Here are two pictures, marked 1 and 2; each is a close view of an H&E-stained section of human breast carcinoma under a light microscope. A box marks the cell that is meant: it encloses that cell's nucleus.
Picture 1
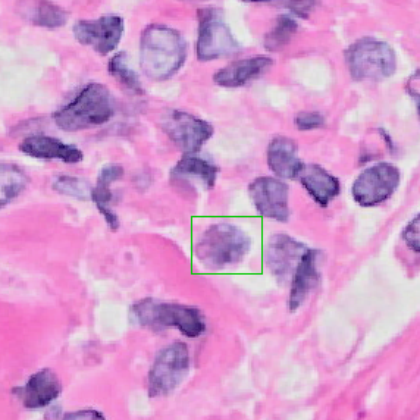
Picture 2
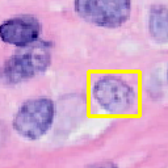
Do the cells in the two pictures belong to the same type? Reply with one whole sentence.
Yes, both cells are carcinoma cells.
